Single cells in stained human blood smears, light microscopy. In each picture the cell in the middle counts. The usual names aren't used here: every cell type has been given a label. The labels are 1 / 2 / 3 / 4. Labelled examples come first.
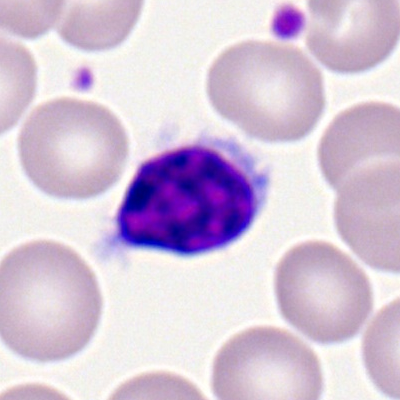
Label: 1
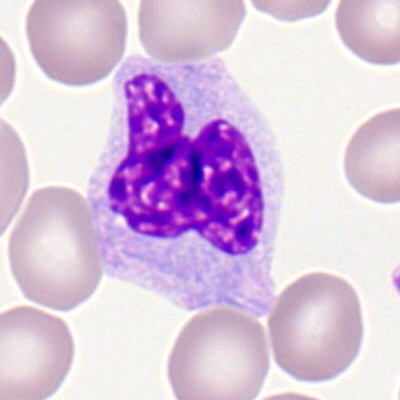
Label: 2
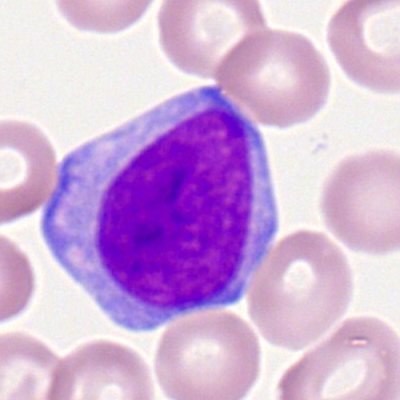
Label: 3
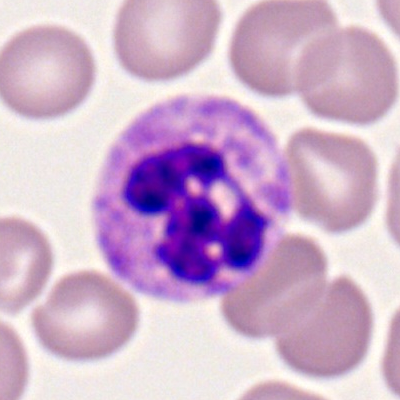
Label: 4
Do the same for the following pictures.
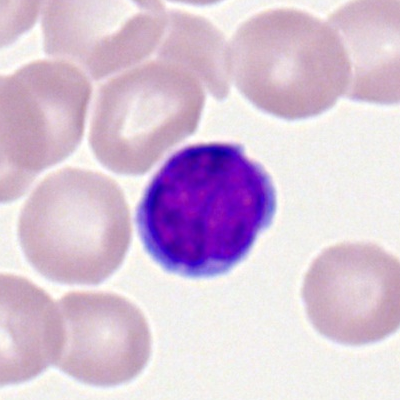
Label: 1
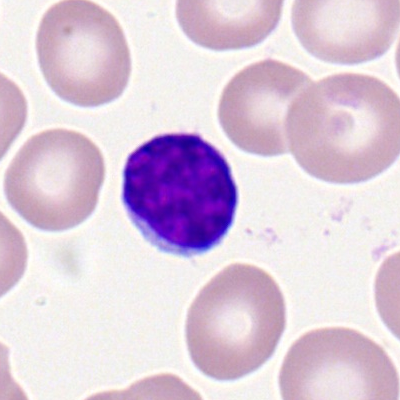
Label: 1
